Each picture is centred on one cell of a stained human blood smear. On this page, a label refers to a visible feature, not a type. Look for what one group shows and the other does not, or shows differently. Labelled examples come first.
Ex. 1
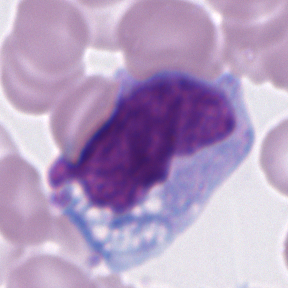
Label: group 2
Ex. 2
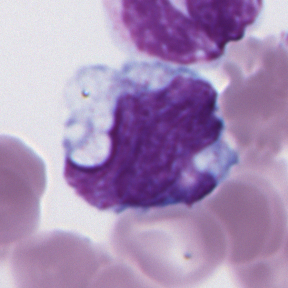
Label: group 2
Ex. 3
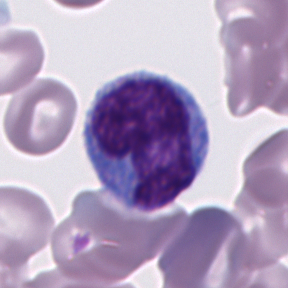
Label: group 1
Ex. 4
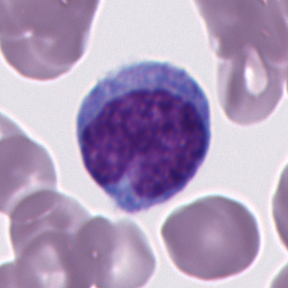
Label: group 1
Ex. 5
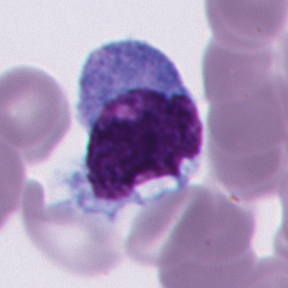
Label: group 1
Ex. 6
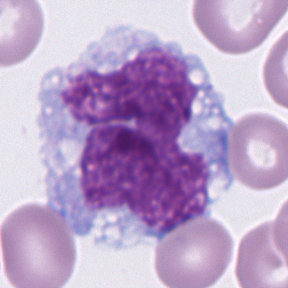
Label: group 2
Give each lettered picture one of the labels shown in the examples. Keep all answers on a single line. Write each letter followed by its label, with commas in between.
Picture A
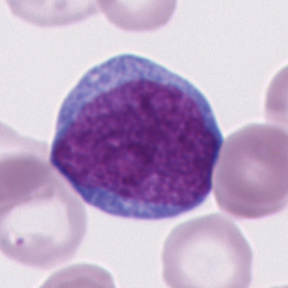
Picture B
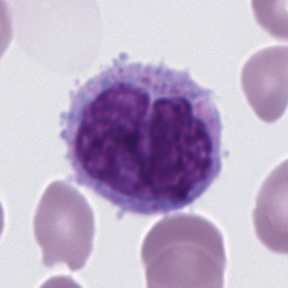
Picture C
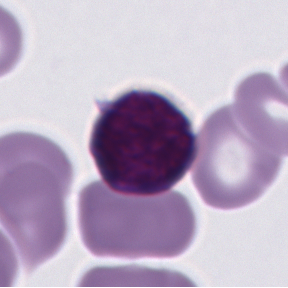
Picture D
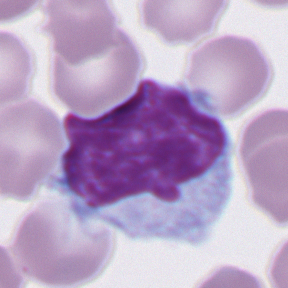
A group 1, B group 1, C group 1, D group 1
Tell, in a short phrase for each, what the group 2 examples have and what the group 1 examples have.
group 2, vacuoles present; group 1, no vacuoles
